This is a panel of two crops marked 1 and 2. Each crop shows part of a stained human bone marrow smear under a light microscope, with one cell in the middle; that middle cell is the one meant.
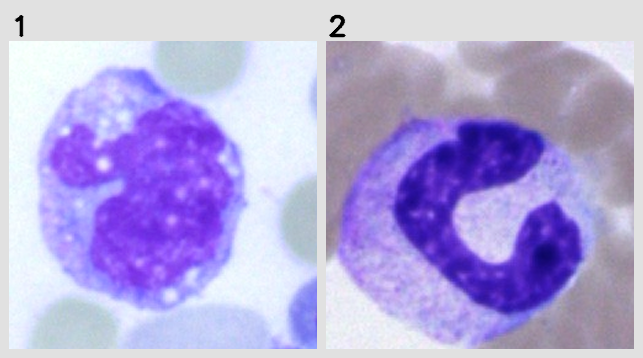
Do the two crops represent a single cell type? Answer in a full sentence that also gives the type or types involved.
No, crop 1 has a monocyte at its center, and crop 2 has a band neutrophil.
